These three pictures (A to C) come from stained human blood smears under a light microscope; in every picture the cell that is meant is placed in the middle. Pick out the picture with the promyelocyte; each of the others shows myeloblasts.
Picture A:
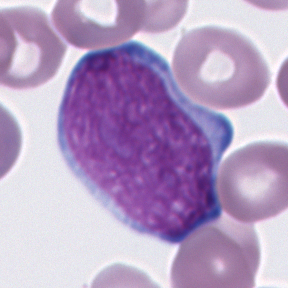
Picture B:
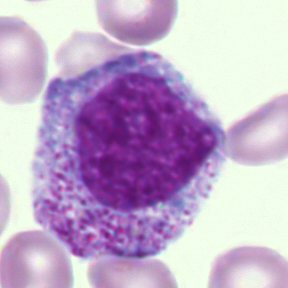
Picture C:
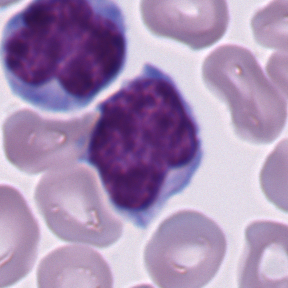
B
